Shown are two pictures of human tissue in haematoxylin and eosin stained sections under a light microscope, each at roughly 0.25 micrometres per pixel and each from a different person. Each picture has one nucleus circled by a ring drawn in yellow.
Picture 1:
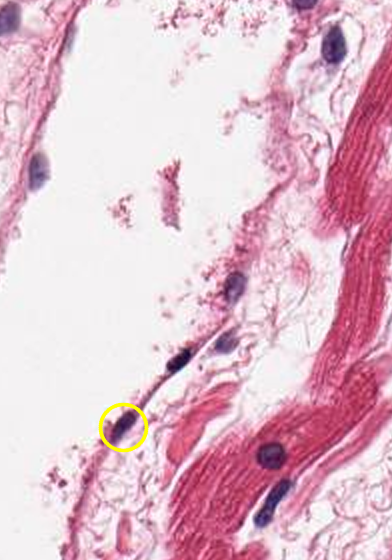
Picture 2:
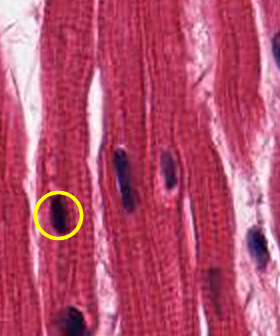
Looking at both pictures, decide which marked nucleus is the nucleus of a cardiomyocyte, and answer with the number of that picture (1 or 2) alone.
2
